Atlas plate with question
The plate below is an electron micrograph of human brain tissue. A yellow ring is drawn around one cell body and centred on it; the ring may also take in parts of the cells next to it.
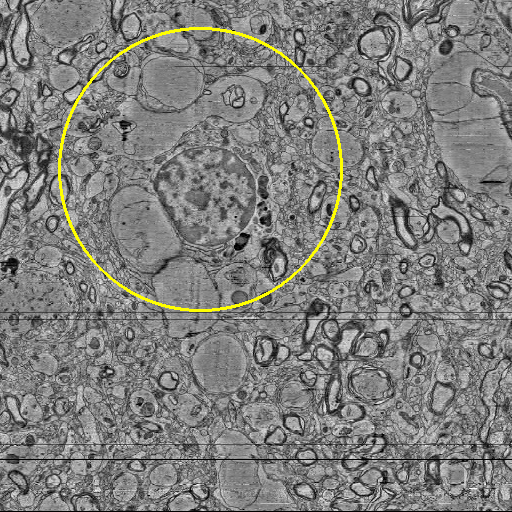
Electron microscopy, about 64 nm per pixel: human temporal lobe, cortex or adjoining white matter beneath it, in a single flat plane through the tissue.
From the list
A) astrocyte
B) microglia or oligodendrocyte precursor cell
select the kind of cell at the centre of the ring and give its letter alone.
B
